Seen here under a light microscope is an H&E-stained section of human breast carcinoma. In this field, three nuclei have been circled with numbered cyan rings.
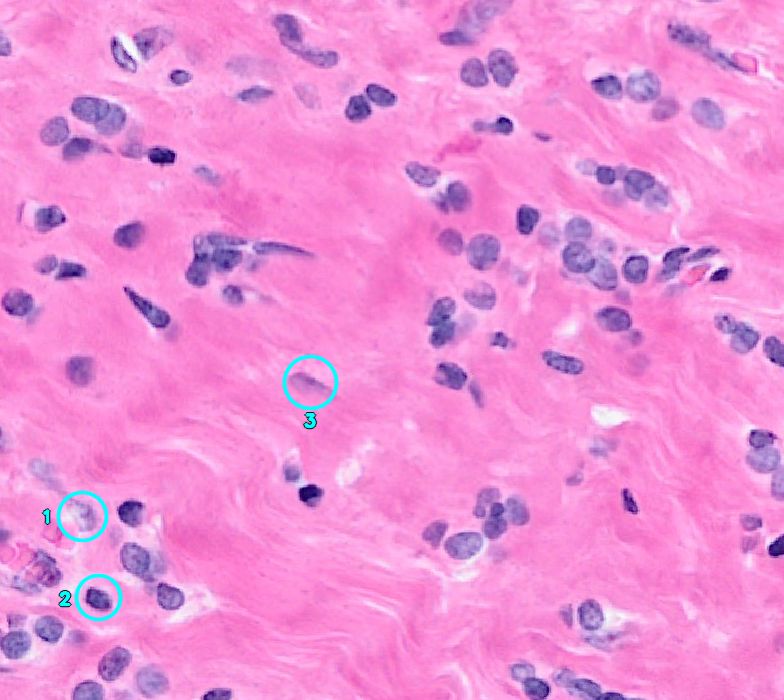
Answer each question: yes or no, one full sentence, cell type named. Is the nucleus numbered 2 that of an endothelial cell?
No, the right label for cell 2 is a lymphocyte rather than an endothelial cell.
